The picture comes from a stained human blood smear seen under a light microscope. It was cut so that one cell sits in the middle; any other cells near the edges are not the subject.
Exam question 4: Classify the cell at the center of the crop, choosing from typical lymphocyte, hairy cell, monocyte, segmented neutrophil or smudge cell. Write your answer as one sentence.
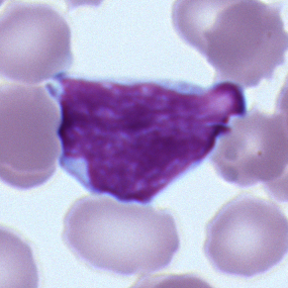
Among the cells in view, the one in the middle is a typical lymphocyte.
